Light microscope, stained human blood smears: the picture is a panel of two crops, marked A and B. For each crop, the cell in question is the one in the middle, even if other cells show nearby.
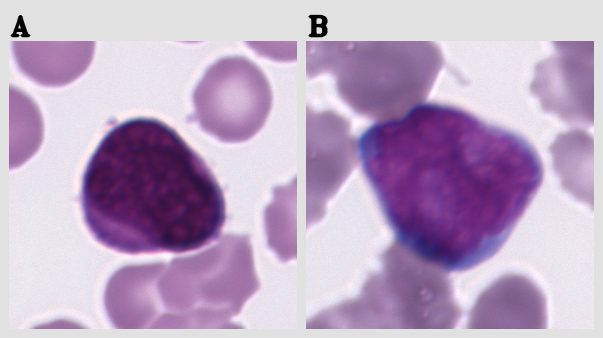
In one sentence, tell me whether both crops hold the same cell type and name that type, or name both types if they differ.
Yes, both crops show blasts in their central position.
